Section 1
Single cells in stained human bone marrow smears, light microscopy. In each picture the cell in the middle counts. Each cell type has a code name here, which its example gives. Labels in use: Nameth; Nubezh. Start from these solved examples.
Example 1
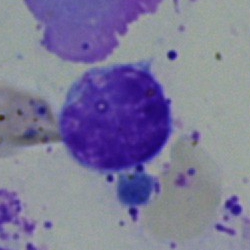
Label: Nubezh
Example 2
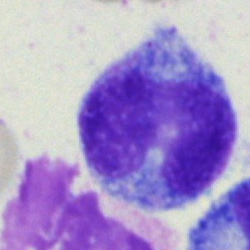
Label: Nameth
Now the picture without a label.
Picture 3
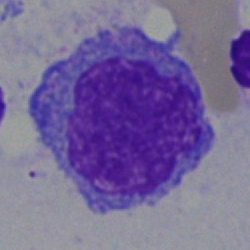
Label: Nameth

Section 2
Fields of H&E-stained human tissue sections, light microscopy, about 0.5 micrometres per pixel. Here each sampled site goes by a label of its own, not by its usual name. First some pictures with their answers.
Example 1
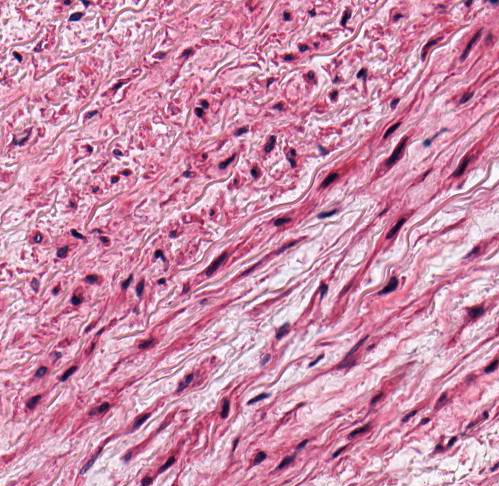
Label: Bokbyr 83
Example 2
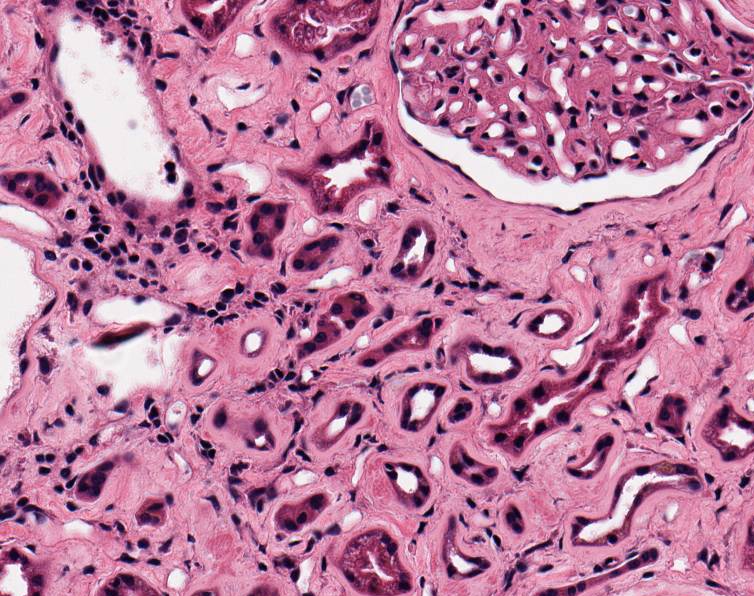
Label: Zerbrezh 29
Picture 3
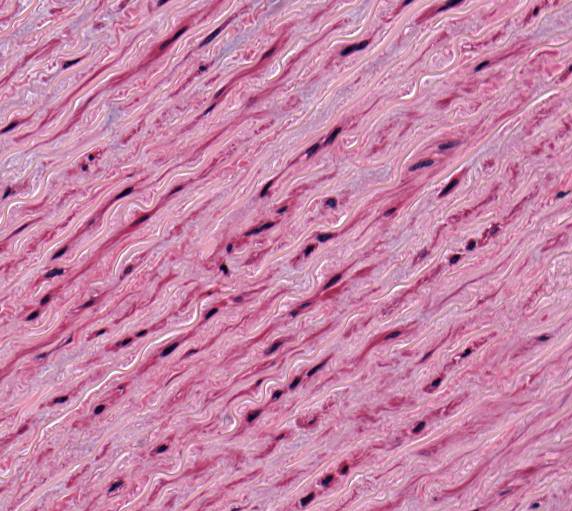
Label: Bokbyr 83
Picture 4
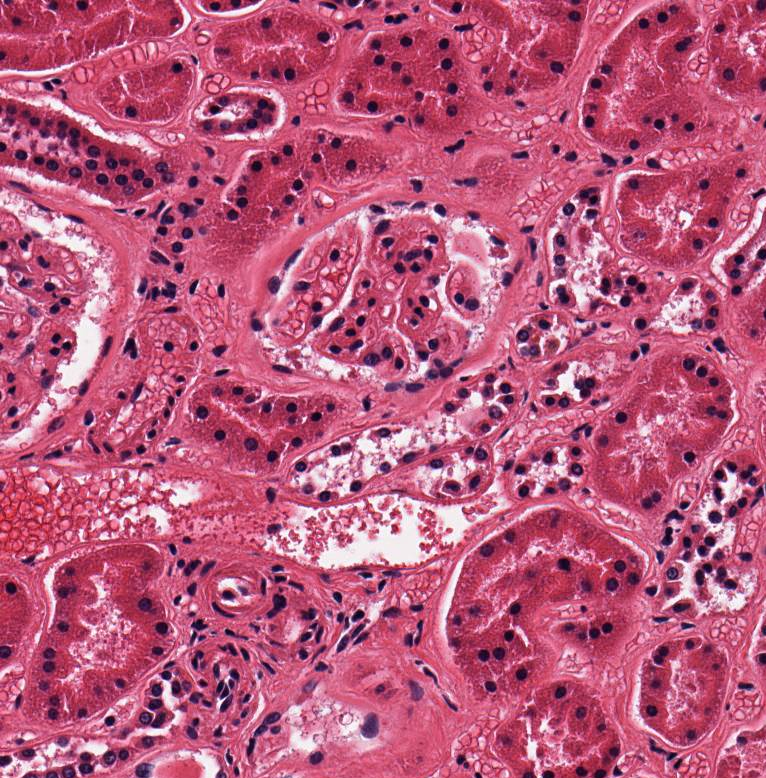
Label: Zerbrezh 29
